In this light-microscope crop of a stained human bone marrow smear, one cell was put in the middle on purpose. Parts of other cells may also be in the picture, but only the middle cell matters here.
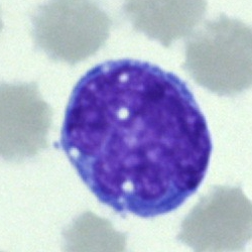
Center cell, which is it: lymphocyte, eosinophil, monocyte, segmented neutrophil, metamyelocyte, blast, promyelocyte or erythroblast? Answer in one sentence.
The middle cell in this particular crop is a monocyte.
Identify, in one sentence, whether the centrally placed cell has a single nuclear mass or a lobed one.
Key feature: a single compact nucleus, round, oval or kidney-shaped.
